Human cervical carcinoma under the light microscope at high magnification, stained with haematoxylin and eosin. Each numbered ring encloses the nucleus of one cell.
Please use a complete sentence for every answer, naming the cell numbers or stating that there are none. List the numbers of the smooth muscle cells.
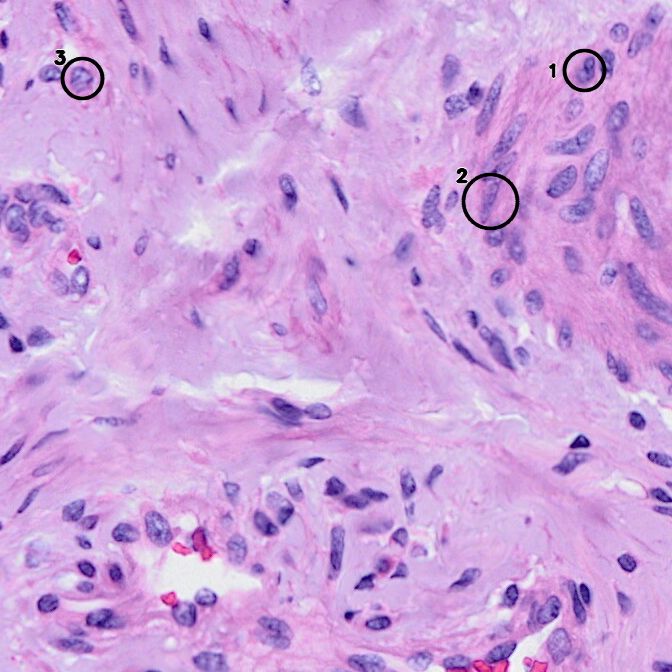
The cells given the numbers 1 and 2 are smooth muscle cells.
